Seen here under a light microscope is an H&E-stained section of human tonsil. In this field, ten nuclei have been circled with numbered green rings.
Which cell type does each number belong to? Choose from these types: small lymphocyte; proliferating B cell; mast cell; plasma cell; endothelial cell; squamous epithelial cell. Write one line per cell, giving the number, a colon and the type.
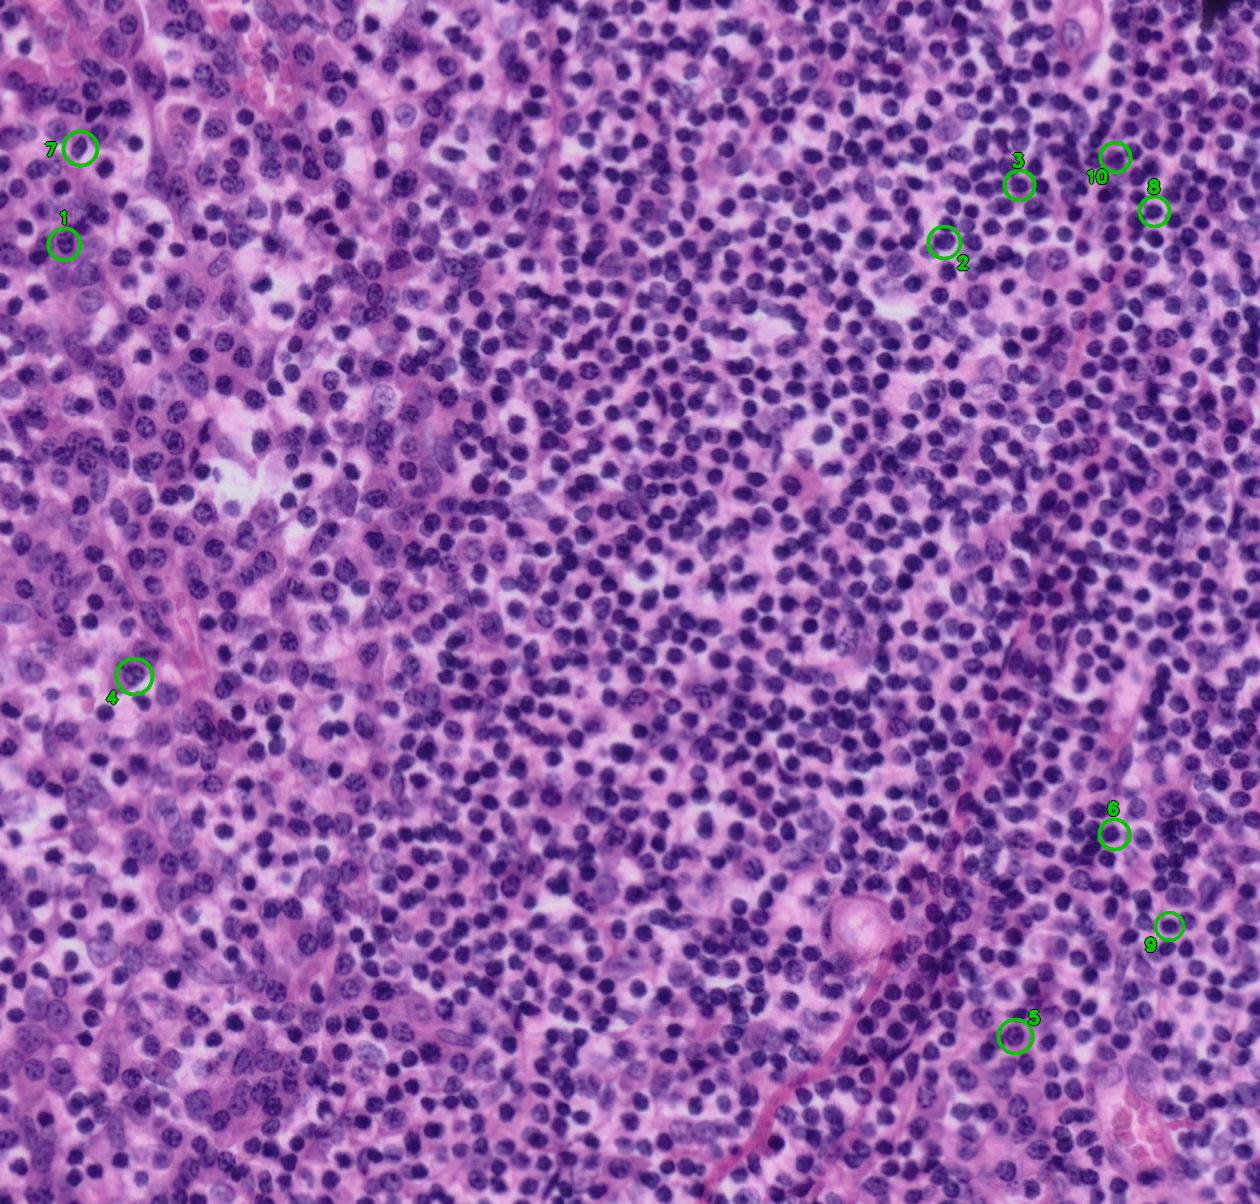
1: plasma cell
2: small lymphocyte
3: small lymphocyte
4: plasma cell
5: plasma cell
6: small lymphocyte
7: plasma cell
8: small lymphocyte
9: small lymphocyte
10: small lymphocyte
